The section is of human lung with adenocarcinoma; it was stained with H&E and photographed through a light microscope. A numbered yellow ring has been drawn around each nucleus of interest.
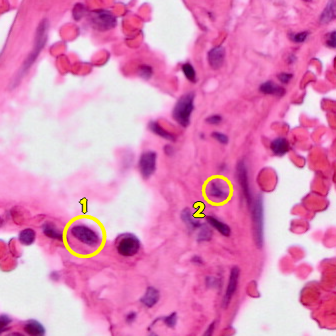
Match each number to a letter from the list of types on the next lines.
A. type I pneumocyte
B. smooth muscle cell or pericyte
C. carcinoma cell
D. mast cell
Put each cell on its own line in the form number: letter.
1: A
2: B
